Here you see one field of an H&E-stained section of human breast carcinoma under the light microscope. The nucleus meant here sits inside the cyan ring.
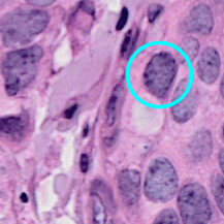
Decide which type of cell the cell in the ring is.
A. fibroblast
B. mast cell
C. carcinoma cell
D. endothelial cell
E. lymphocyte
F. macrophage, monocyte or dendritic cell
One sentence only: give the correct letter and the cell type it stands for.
Option C names it right: the cell in the ring is a carcinoma cell.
